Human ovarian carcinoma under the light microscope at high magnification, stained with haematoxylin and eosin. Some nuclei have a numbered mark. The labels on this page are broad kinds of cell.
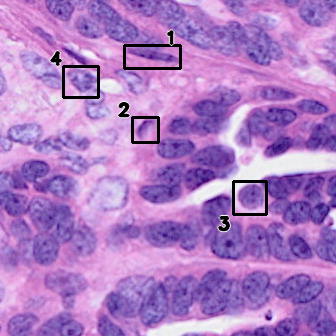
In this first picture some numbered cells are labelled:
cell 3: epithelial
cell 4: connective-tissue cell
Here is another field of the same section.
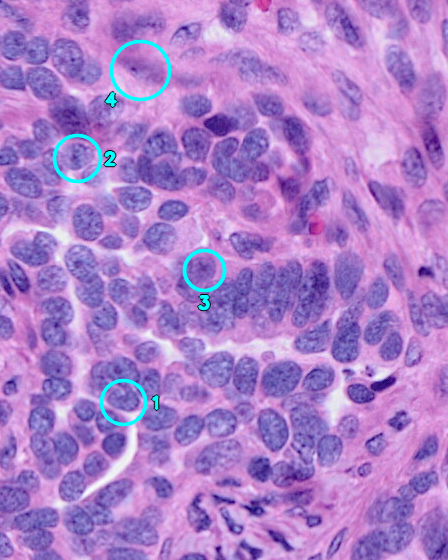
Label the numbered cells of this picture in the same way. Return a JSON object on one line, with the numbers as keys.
{"1": "epithelial", "2": "epithelial", "3": "epithelial", "4": "connective-tissue cell"}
